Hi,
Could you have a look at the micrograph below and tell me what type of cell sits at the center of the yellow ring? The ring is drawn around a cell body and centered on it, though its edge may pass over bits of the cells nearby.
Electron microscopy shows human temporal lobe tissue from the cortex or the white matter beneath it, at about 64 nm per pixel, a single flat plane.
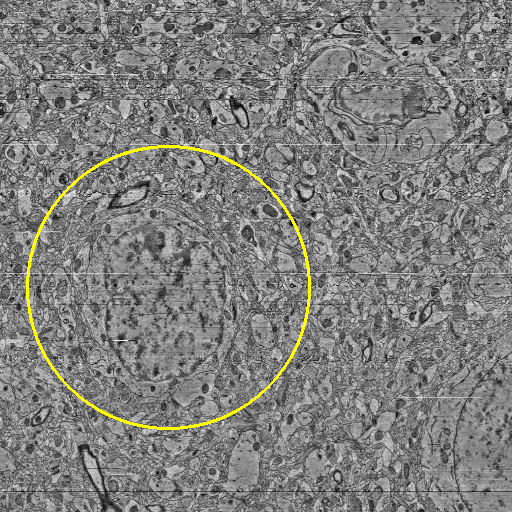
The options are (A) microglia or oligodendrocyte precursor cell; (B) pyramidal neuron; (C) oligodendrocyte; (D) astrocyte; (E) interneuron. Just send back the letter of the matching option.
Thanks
E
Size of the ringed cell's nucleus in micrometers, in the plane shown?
The nucleus measures about 11 by 8 micrometres in this plane.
